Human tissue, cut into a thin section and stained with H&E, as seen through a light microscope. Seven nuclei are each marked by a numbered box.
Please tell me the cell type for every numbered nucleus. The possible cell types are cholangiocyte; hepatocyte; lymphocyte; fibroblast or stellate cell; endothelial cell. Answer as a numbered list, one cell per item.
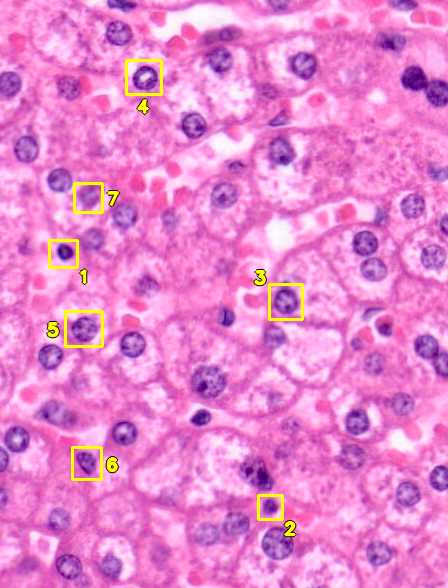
1. lymphocyte
2. lymphocyte
3. hepatocyte
4. hepatocyte
5. hepatocyte
6. fibroblast or stellate cell
7. hepatocyte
